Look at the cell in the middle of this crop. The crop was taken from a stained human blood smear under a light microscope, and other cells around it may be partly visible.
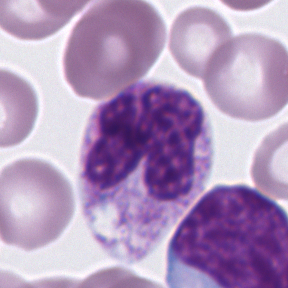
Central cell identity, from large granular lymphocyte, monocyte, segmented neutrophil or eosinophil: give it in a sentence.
By type, the central cell of the crop is a segmented neutrophil.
